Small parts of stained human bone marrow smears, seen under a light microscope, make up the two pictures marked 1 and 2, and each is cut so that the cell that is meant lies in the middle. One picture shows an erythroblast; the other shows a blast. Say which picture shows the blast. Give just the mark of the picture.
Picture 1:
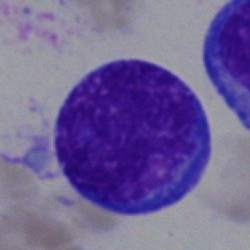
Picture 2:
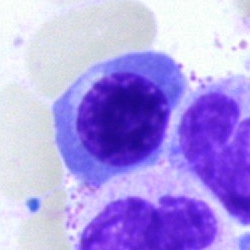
1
